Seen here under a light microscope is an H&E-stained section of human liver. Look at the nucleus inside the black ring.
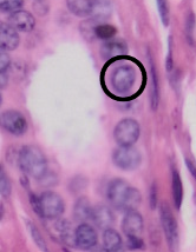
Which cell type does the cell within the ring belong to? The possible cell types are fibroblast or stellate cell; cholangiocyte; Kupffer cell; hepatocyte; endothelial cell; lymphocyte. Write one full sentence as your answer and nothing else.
Just put down that the cell within the ring is a cholangiocyte.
